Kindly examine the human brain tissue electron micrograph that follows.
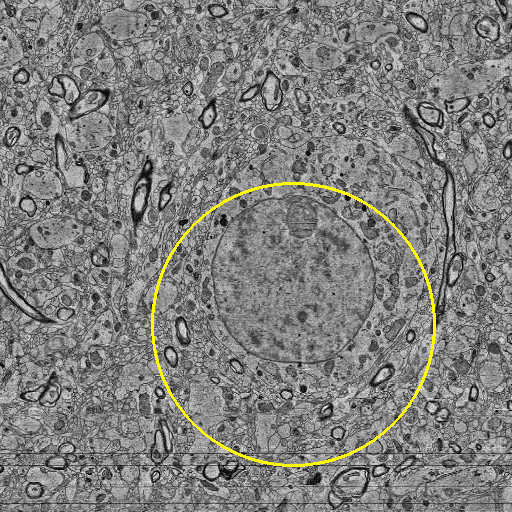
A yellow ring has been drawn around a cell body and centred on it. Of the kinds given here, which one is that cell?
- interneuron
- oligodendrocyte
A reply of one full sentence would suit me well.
The micrograph's ringed cell, the one at the ring's centre, is an interneuron.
